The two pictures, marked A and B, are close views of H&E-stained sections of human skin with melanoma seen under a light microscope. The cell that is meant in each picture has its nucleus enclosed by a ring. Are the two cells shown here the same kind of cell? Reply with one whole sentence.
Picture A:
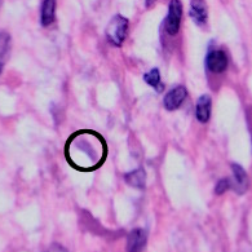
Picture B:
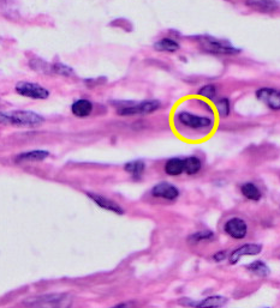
No, the types are not the same, since picture A shows a “fibroblast or myofibroblast” and picture B a plasma cell.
